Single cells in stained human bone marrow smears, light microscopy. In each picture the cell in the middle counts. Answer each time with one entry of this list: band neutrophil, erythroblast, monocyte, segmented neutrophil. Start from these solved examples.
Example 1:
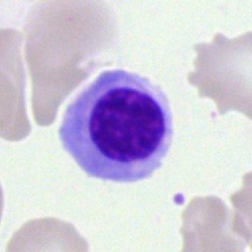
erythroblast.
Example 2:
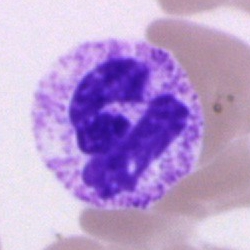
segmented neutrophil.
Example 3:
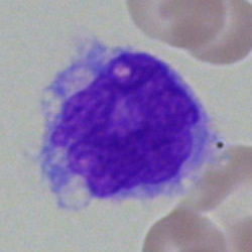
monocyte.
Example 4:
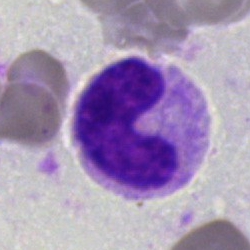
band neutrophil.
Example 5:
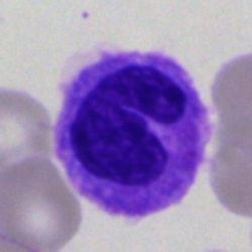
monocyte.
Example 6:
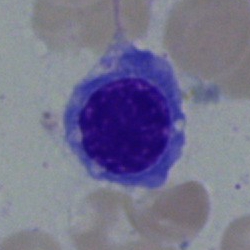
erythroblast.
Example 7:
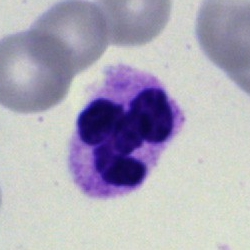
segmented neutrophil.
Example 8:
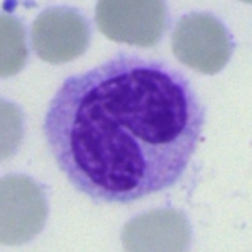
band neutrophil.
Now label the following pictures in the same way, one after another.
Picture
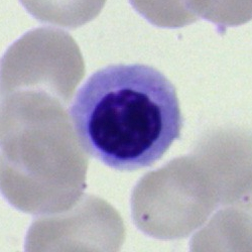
erythroblast.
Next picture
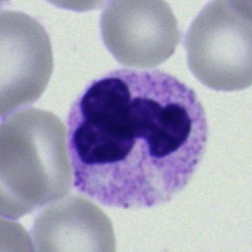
segmented neutrophil.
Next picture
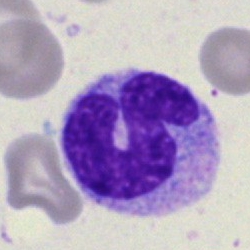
monocyte.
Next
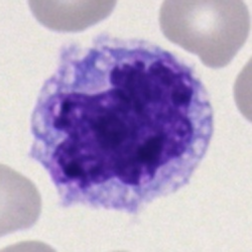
monocyte.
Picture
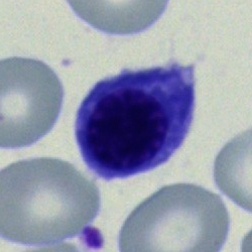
erythroblast.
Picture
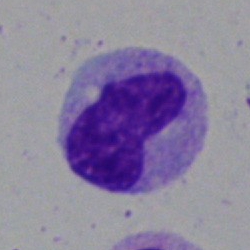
band neutrophil.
